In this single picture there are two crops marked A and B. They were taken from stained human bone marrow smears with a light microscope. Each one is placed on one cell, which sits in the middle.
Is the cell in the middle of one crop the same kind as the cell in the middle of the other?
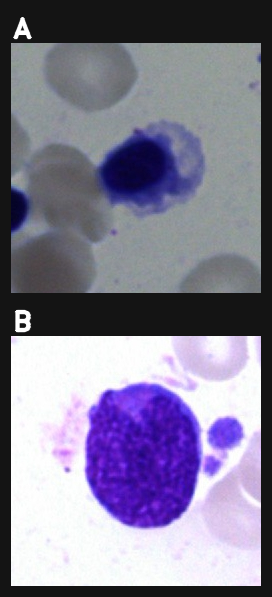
no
